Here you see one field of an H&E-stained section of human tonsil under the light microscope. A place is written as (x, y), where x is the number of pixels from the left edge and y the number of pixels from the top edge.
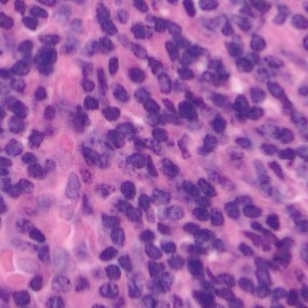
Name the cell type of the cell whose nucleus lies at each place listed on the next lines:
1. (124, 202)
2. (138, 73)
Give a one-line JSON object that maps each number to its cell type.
{"1": "small lymphocyte", "2": "plasma cell"}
